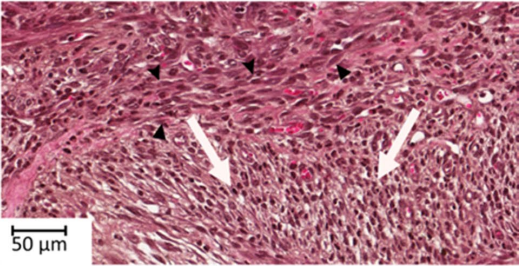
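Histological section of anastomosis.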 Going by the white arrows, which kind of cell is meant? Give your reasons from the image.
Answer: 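The arrows point into a field of densely packed cells with small dark nuclei. These cells lie crowded together with little matrix between them. The answer: inflammatory cells.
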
